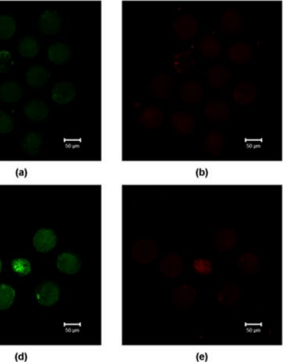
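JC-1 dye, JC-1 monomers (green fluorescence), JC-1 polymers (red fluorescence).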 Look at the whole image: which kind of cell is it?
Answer: Oocytes.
